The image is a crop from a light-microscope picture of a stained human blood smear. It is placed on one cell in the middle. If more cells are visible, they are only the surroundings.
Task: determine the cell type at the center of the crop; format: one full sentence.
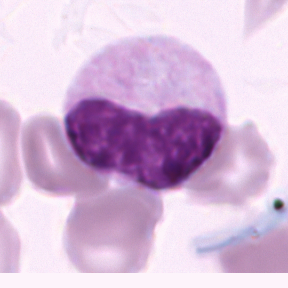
The middle cell in this particular crop is a metamyelocyte.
